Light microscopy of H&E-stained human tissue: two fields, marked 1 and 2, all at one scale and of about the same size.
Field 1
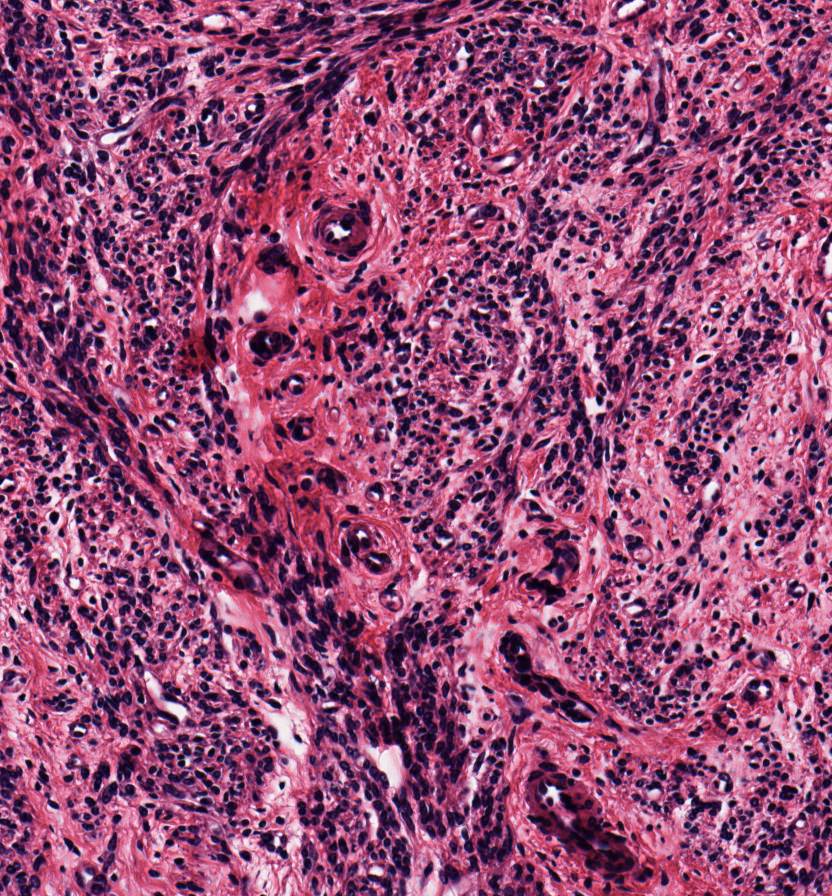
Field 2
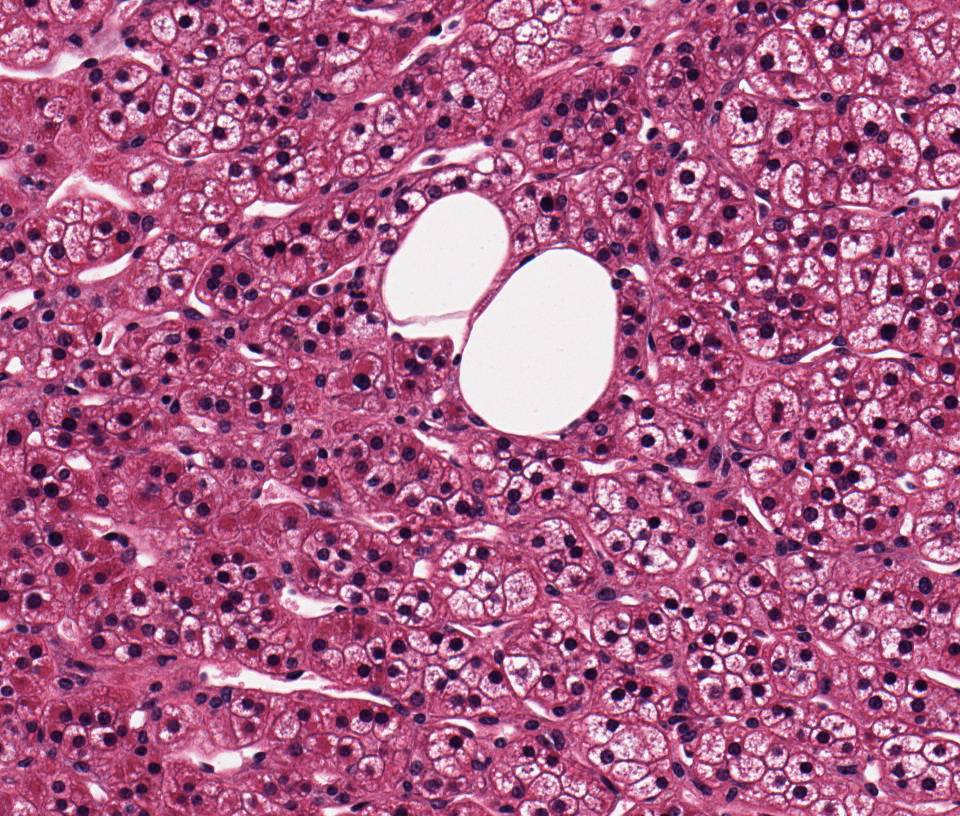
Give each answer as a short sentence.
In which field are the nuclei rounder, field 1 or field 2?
It is field 2 whose nuclei are the rounder.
